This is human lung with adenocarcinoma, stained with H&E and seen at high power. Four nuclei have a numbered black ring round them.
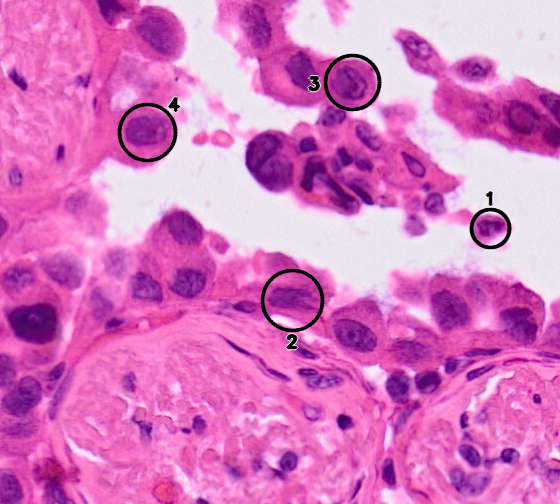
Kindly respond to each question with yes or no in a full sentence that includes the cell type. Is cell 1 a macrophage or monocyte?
Yes, the number 1 belongs to a macrophage or monocyte.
